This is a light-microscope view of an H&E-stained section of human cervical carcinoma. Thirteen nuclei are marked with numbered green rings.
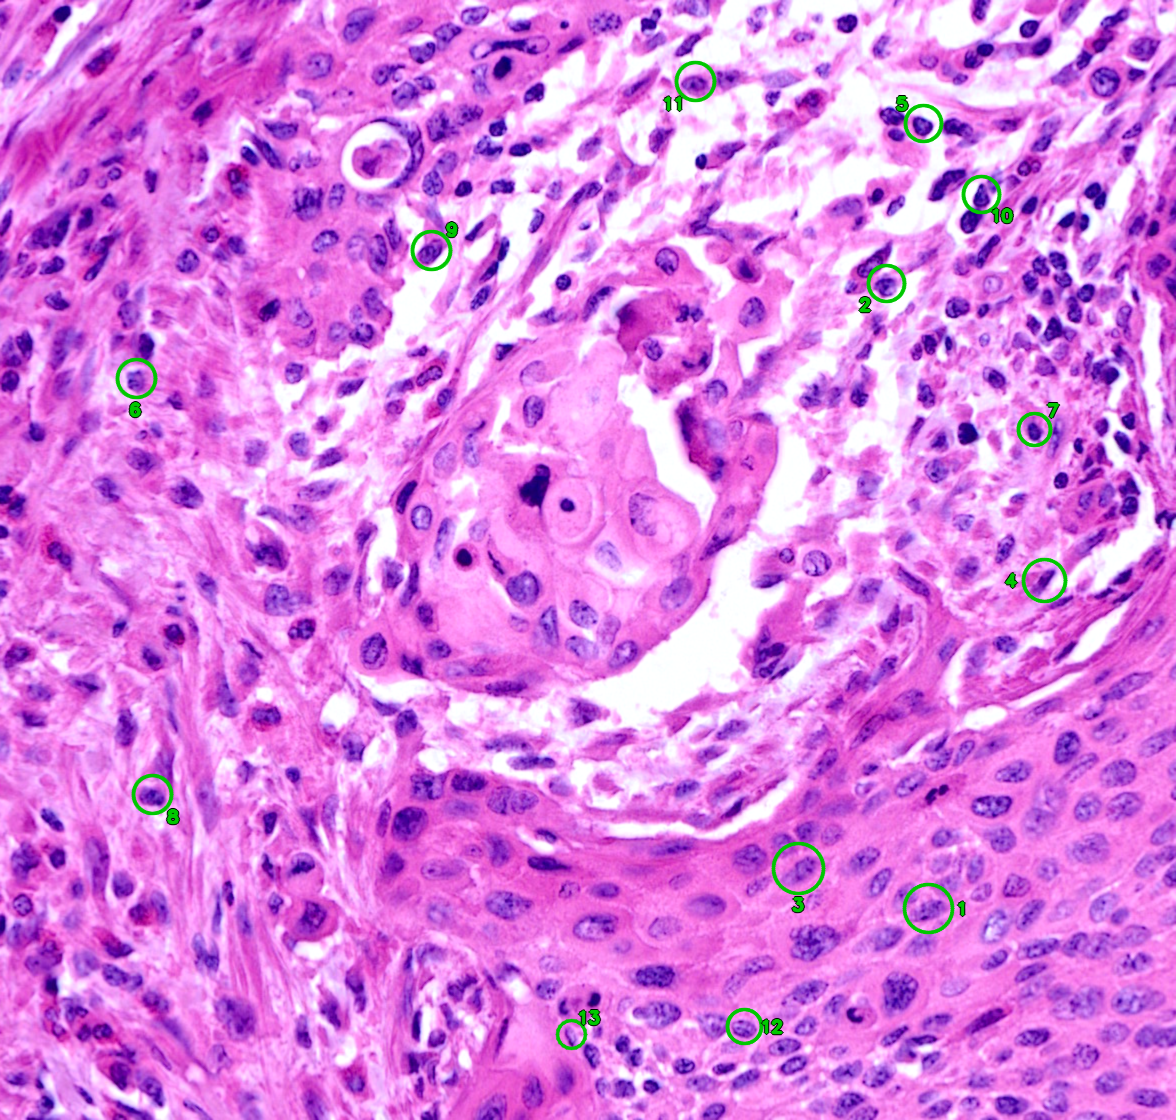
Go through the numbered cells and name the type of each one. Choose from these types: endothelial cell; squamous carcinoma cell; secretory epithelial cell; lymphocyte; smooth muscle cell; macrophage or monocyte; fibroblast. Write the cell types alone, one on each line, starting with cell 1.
squamous carcinoma cell
lymphocyte
squamous carcinoma cell
fibroblast
lymphocyte
lymphocyte
lymphocyte
lymphocyte
macrophage or monocyte
lymphocyte
macrophage or monocyte
squamous carcinoma cell
squamous carcinoma cell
